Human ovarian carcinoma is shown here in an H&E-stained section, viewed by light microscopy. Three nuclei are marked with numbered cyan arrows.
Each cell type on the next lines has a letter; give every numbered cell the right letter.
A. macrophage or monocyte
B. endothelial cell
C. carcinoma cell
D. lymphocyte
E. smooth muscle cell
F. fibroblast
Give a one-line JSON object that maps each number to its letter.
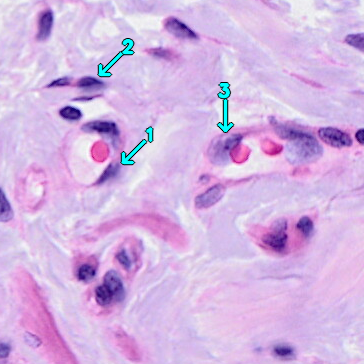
{"1": "B", "2": "F", "3": "B"}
